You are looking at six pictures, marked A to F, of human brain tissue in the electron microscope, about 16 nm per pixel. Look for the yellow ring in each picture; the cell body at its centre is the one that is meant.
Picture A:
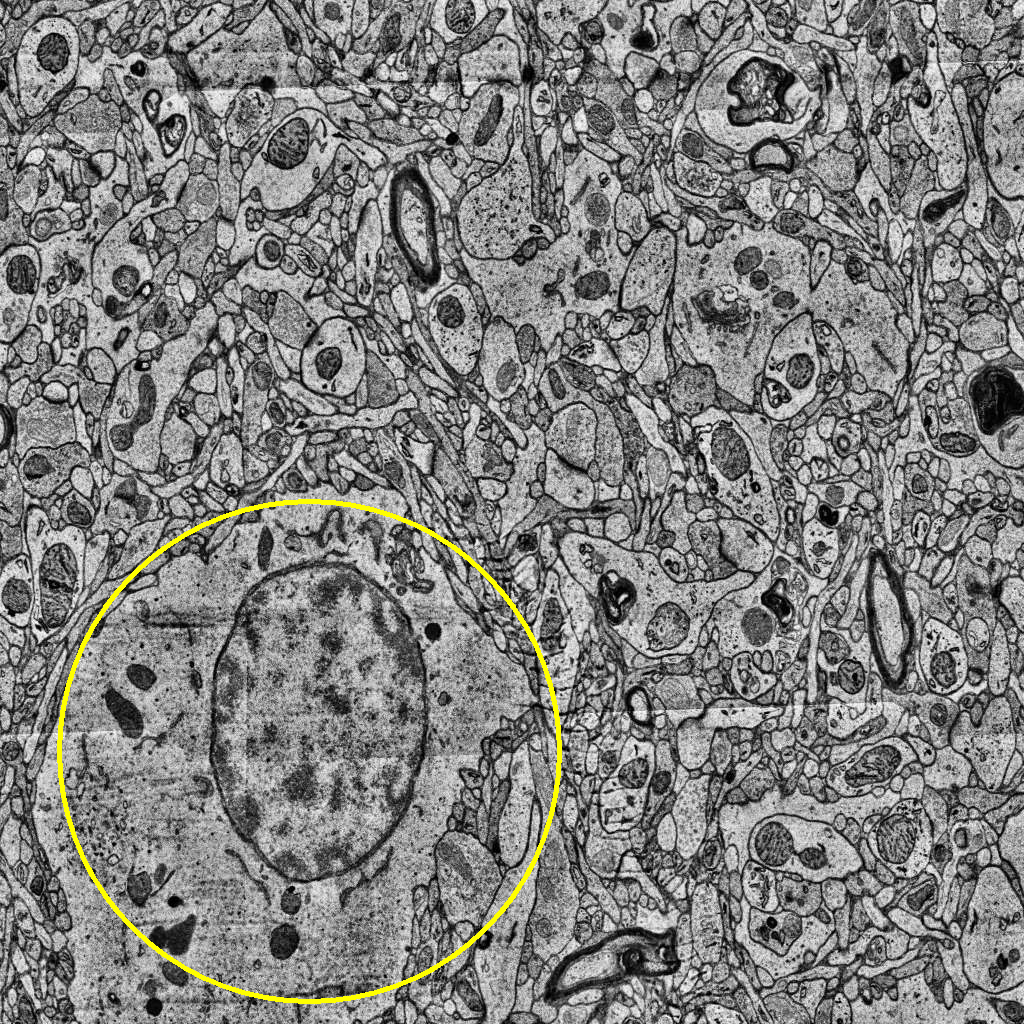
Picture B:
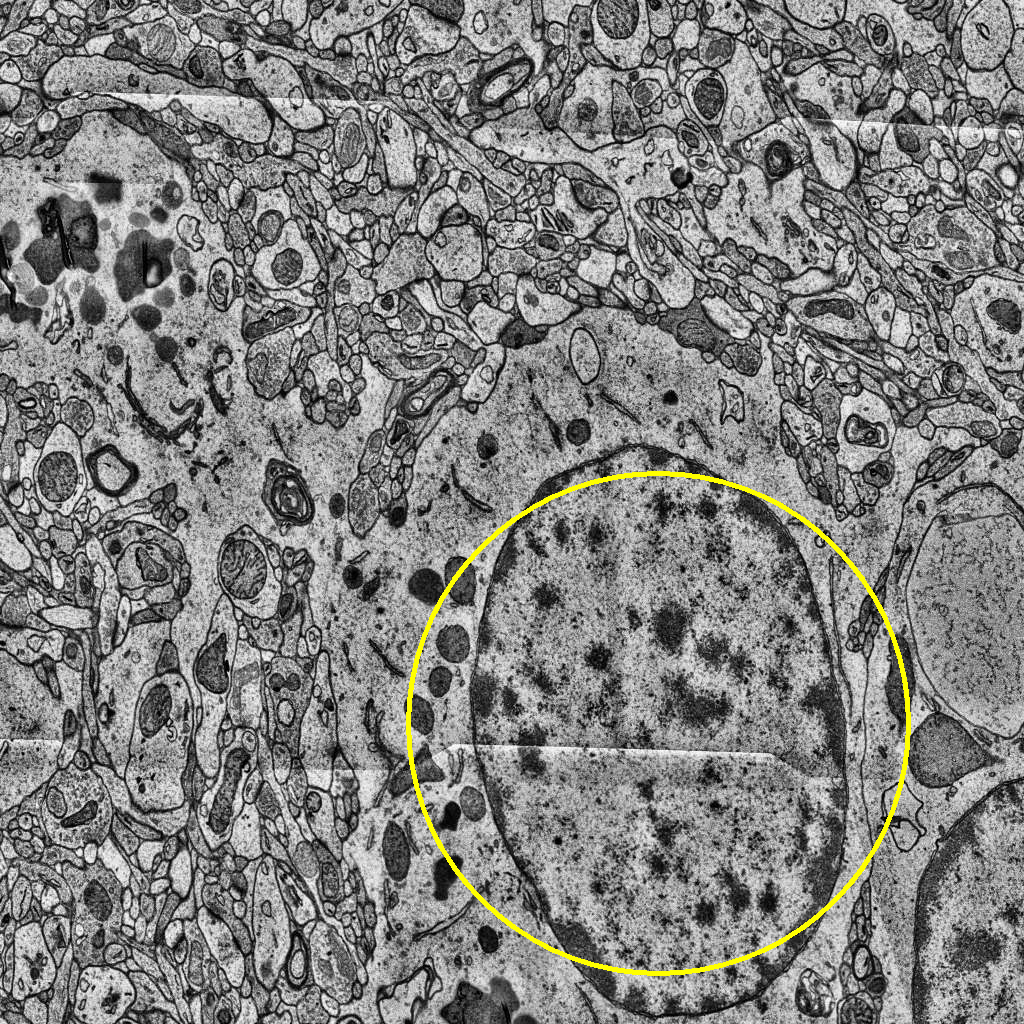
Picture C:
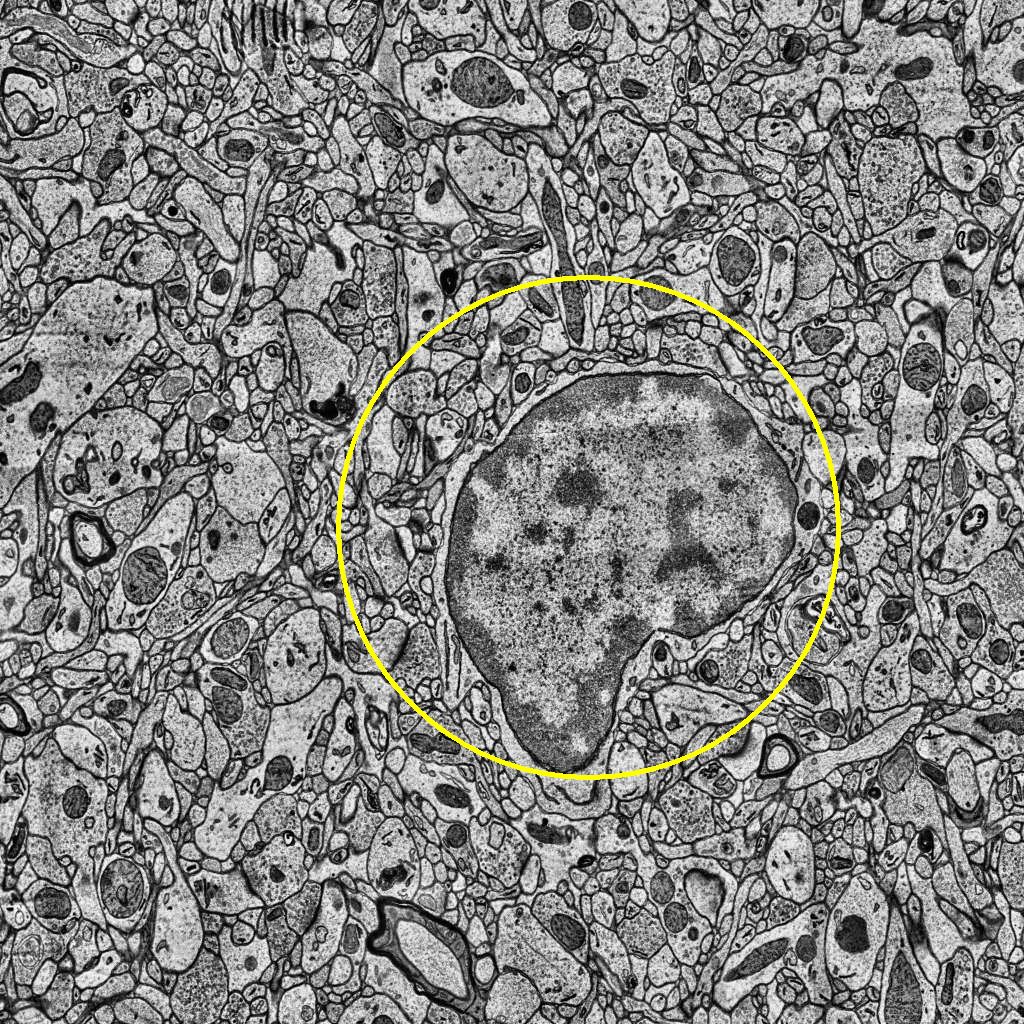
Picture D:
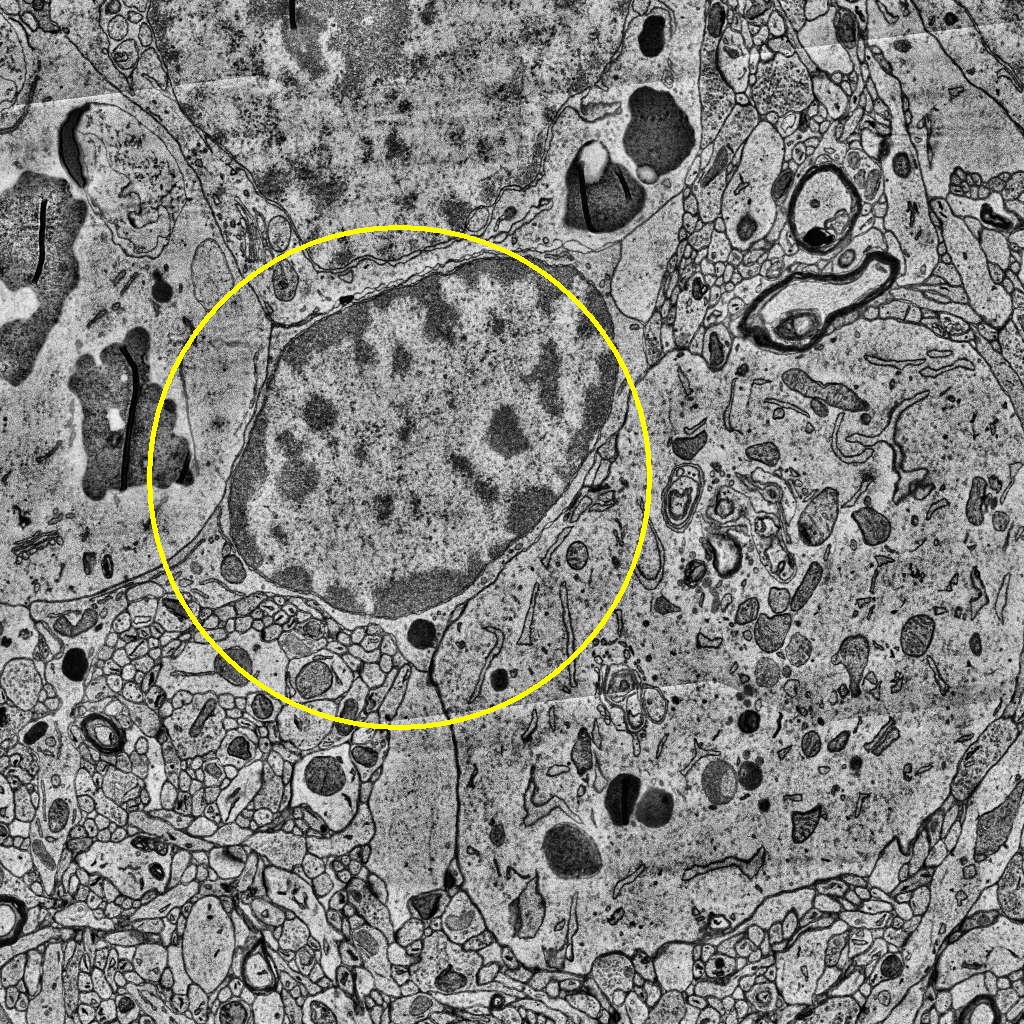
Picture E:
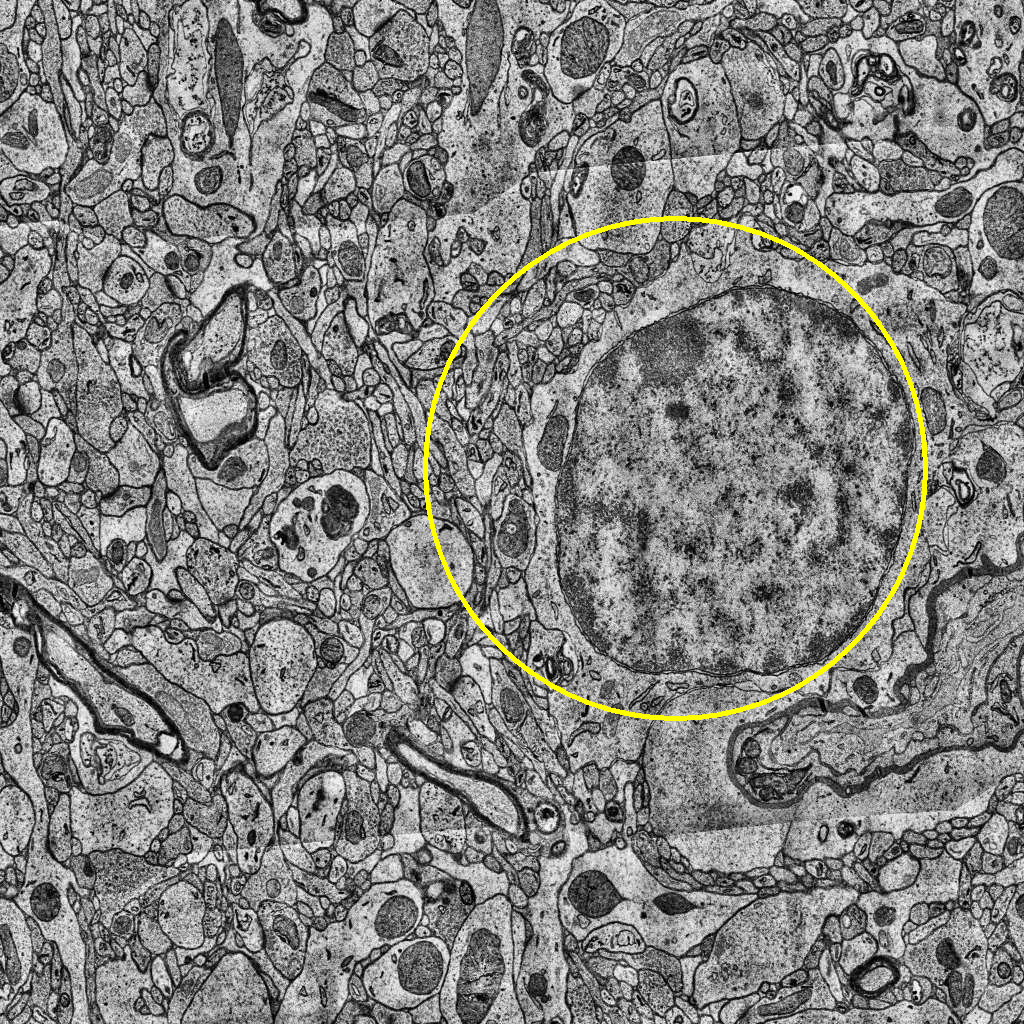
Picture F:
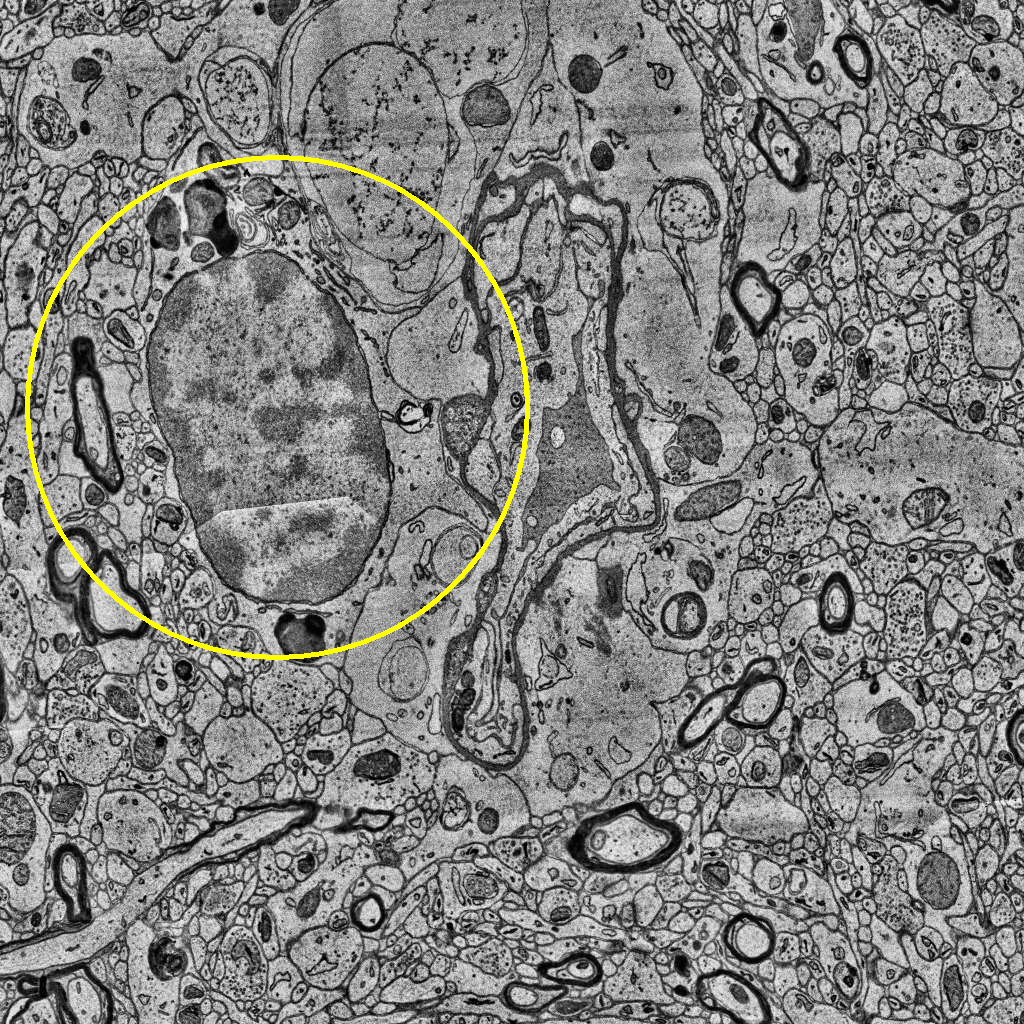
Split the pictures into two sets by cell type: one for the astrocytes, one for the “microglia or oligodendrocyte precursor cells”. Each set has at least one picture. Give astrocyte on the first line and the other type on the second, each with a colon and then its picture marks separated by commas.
astrocyte: A, B
microglia or oligodendrocyte precursor cell: C, D, E, F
